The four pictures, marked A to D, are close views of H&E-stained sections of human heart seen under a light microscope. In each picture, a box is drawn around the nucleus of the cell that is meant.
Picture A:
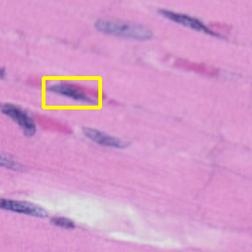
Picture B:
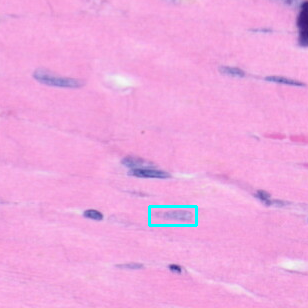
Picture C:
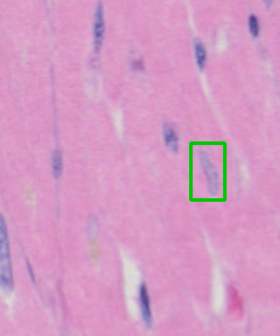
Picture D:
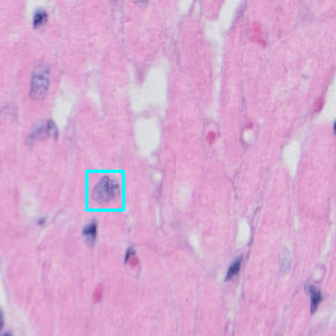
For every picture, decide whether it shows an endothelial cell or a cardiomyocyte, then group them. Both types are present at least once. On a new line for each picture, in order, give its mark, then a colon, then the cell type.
A: endothelial cell
B: cardiomyocyte
C: cardiomyocyte
D: cardiomyocyte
